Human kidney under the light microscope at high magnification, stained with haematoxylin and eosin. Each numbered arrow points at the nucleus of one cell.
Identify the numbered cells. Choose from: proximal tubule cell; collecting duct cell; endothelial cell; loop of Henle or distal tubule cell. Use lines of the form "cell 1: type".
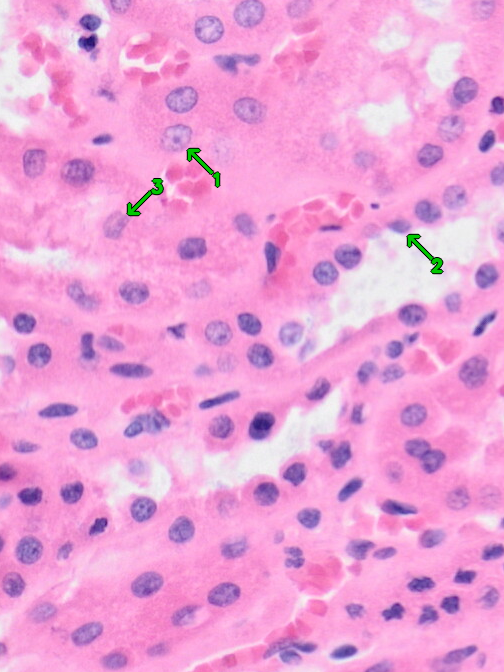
cell 1: proximal tubule cell
cell 2: loop of Henle or distal tubule cell
cell 3: proximal tubule cell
